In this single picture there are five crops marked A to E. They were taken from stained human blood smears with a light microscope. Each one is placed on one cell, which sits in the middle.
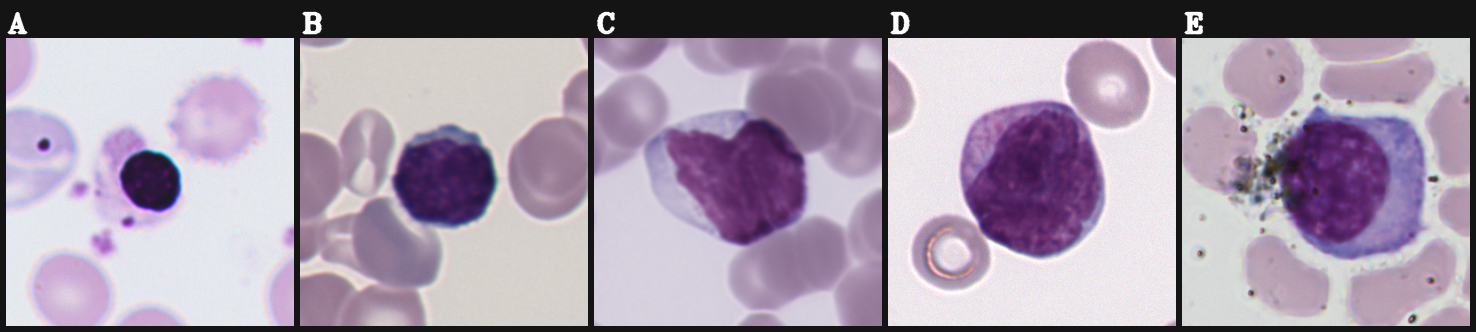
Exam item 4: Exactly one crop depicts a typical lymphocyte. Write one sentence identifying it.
Of the labelled crops, the one that shows a typical lymphocyte is crop B.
